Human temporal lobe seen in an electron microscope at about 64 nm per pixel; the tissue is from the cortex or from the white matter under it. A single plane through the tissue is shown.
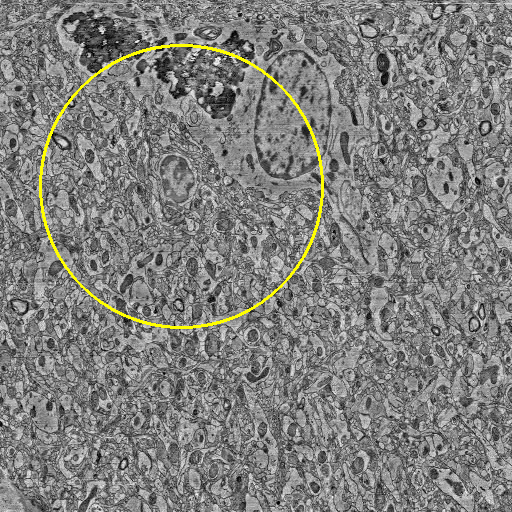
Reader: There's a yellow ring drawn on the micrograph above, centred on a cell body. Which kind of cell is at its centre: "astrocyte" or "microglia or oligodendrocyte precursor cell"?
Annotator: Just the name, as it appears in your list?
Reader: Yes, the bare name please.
microglia or oligodendrocyte precursor cell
